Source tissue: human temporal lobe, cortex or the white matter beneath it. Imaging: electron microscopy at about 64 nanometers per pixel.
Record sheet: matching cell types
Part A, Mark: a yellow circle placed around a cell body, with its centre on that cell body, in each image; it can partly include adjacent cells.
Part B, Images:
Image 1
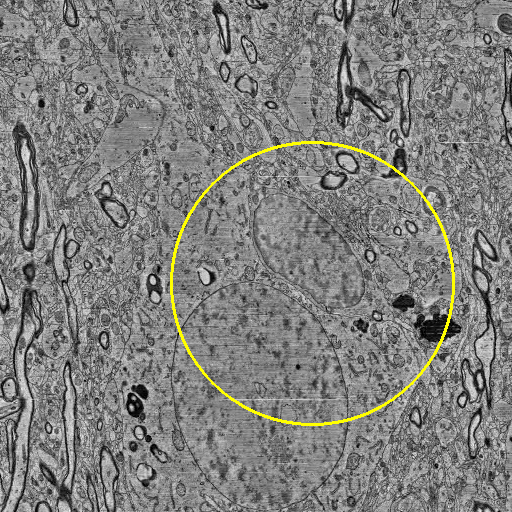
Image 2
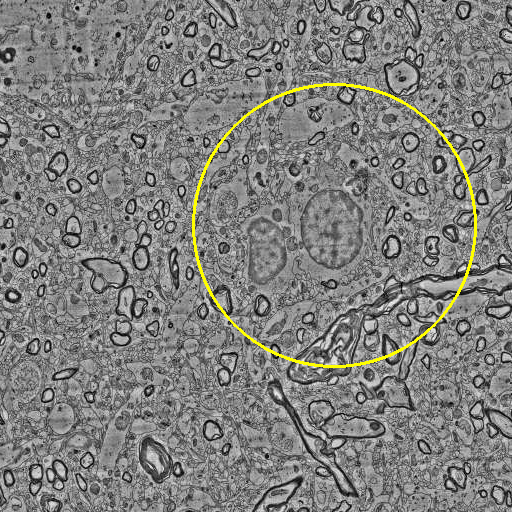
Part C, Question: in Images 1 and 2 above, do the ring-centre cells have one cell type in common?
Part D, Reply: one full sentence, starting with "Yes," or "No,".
Yes, the ring-centre cells of Image 1 and Image 2 are both of a single cell type.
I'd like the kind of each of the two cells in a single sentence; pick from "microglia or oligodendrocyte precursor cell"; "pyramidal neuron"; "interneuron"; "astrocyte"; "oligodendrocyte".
The cell at the ring centre is an oligodendrocyte in both pictures.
